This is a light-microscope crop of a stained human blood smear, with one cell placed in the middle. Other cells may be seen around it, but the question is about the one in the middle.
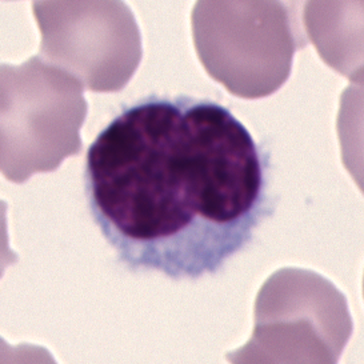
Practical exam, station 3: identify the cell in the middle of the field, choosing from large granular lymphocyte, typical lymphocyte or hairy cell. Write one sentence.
Classified as a hairy cell is the cell in the middle of this crop.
